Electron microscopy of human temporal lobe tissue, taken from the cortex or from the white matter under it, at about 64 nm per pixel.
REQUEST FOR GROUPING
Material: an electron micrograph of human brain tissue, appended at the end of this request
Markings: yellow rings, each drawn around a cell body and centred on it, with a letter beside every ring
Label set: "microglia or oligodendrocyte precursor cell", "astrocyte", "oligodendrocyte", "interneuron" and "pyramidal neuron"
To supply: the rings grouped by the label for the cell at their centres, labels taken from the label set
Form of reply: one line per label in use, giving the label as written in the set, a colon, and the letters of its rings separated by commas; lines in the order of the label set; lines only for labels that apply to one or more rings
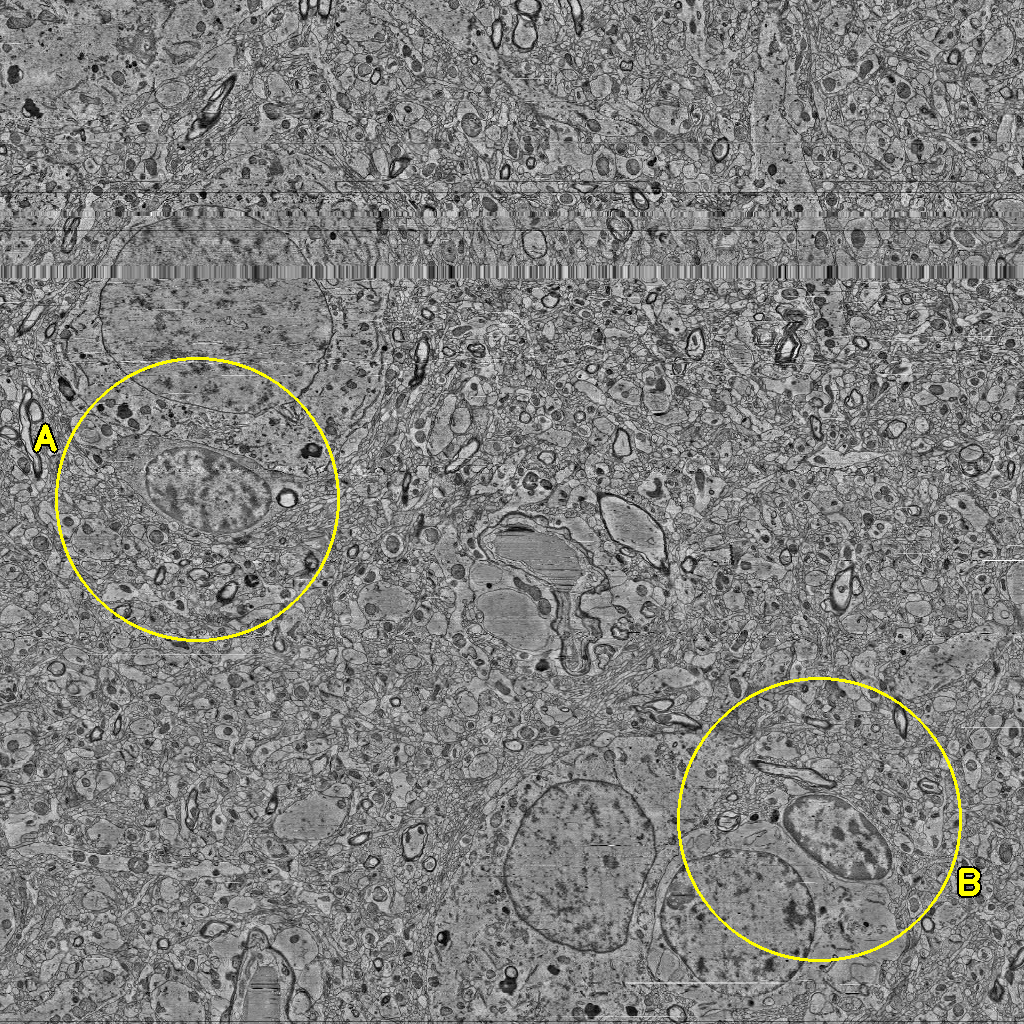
microglia or oligodendrocyte precursor cell: B
oligodendrocyte: A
